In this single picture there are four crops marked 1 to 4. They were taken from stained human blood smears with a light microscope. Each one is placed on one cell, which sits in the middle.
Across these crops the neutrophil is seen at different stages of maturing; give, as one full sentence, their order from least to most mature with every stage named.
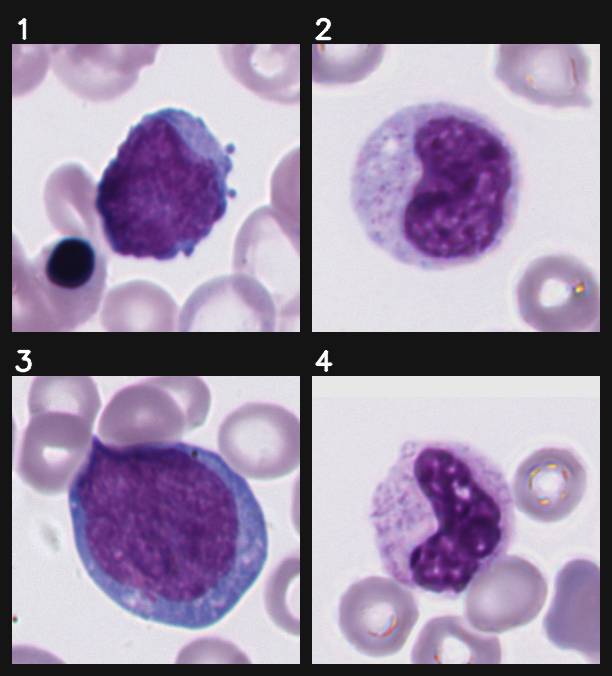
When lined up from least to most mature, the crops are crop 1 (a blast), crop 3 (a promyelocyte), crop 2 (a metamyelocyte) and crop 4 (a band neutrophil).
